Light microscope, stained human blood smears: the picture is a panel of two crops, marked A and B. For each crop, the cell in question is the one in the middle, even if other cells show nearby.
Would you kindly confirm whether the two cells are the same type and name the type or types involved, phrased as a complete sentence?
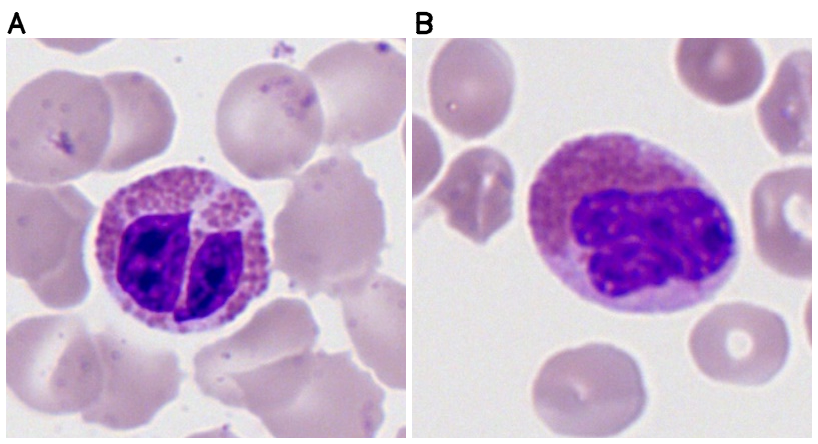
Yes, both crops show eosinophils in their central position.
